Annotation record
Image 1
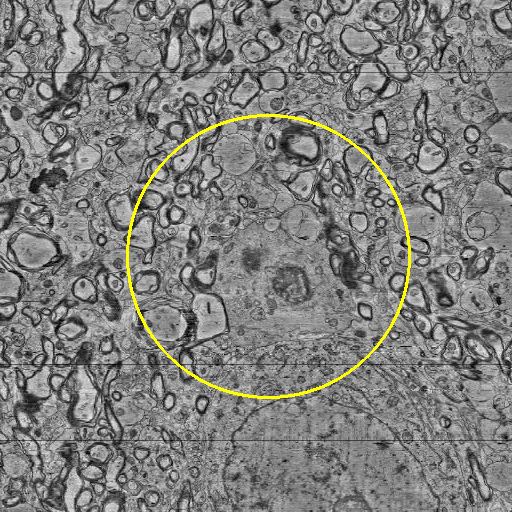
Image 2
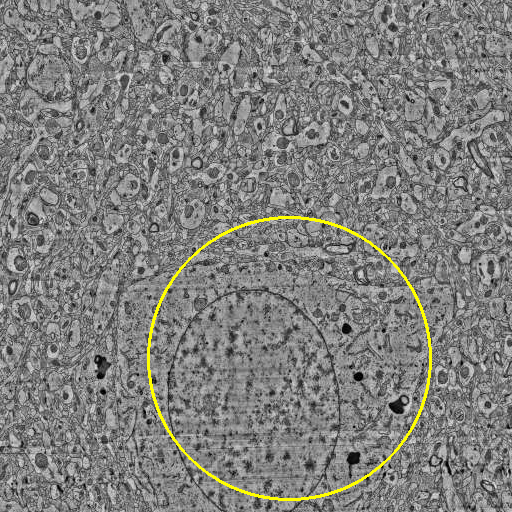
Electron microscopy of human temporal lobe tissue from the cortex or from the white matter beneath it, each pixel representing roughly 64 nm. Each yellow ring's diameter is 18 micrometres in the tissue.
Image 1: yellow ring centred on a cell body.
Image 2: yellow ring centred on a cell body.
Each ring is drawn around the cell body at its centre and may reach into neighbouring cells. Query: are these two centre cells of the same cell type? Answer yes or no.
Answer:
no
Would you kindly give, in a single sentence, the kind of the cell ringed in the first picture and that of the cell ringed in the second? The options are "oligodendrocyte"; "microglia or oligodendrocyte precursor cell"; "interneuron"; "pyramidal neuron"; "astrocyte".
The second cell is a pyramidal neuron, and the first cell is an oligodendrocyte.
